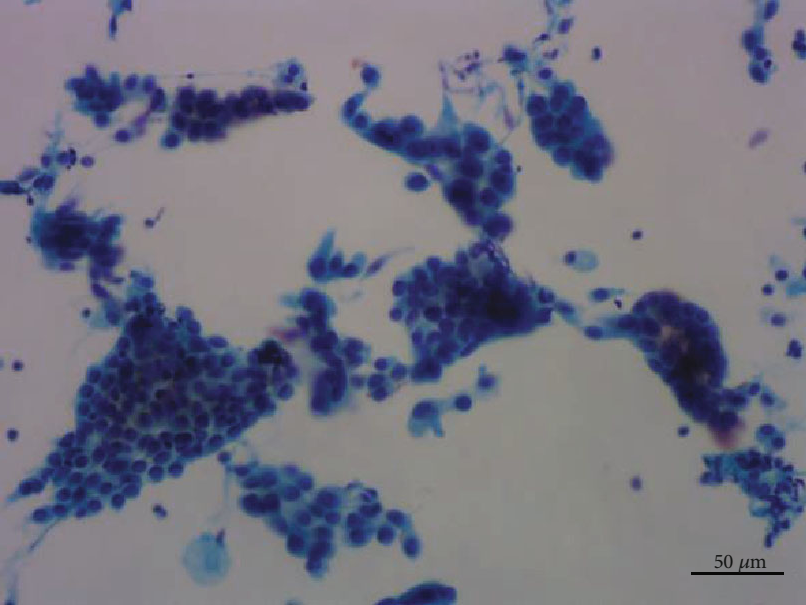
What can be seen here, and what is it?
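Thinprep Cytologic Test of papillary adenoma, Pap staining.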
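The nuclei are round to oval, dark blue, and fairly uniform, with a few that are somewhat larger than their neighbours. The cytoplasm is scant and pale blue-green, and the cell borders are indistinct within the groups. A few single cells and small loose fragments lie between the groups.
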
